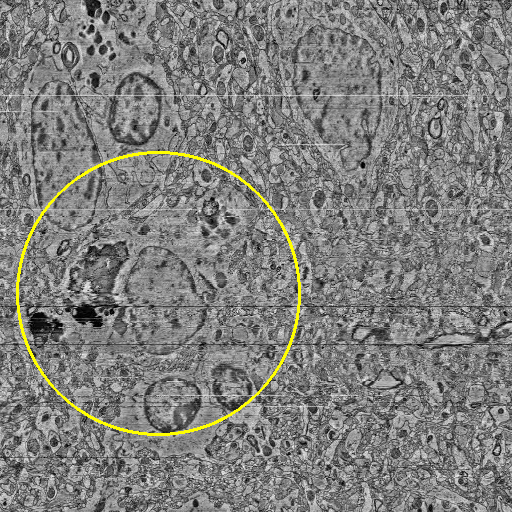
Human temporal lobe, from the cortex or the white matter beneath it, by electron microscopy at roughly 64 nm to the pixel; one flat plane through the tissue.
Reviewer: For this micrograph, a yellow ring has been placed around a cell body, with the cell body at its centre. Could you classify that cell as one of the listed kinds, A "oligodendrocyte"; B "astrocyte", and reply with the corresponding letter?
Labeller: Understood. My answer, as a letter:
B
